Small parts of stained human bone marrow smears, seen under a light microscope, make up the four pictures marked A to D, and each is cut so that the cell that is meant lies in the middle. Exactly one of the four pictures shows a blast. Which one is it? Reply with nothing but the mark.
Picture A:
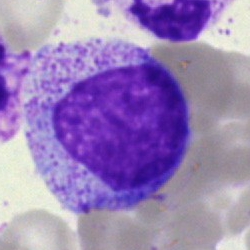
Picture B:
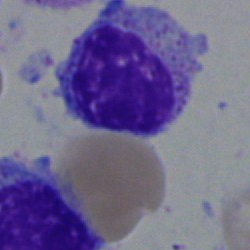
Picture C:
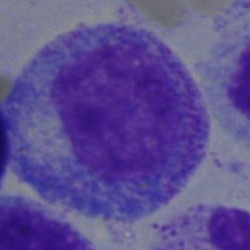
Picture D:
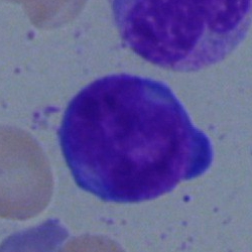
D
